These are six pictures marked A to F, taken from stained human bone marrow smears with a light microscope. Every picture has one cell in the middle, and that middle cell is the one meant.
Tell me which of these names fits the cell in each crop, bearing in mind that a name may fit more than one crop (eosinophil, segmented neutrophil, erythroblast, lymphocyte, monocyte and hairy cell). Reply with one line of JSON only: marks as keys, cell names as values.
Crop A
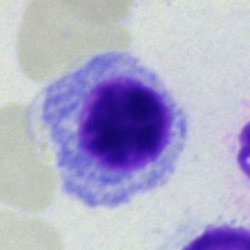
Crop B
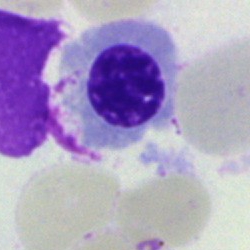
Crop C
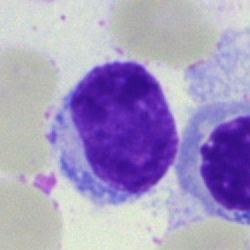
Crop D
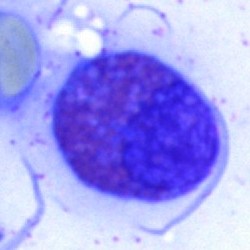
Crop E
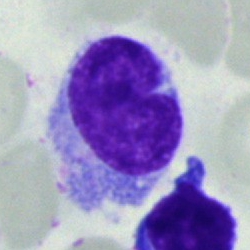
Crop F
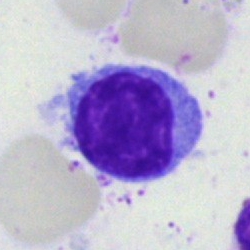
{"A": "erythroblast", "B": "erythroblast", "C": "hairy cell", "D": "eosinophil", "E": "hairy cell", "F": "lymphocyte"}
